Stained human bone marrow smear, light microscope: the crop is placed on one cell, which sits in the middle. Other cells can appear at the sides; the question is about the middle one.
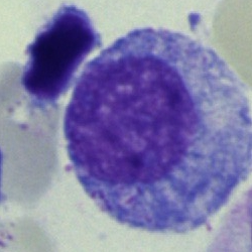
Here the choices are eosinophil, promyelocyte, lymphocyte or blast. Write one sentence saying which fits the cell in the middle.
In short, the cell at the center is a promyelocyte.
